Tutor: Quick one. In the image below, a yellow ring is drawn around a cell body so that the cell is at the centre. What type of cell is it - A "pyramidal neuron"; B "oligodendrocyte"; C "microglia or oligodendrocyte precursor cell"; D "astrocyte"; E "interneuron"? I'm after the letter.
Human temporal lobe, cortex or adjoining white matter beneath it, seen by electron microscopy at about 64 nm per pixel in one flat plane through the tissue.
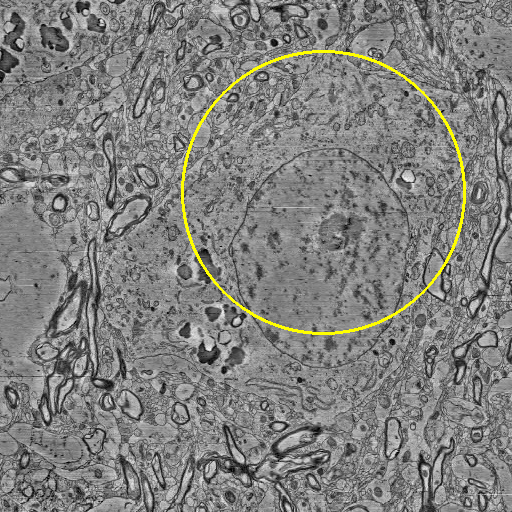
A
